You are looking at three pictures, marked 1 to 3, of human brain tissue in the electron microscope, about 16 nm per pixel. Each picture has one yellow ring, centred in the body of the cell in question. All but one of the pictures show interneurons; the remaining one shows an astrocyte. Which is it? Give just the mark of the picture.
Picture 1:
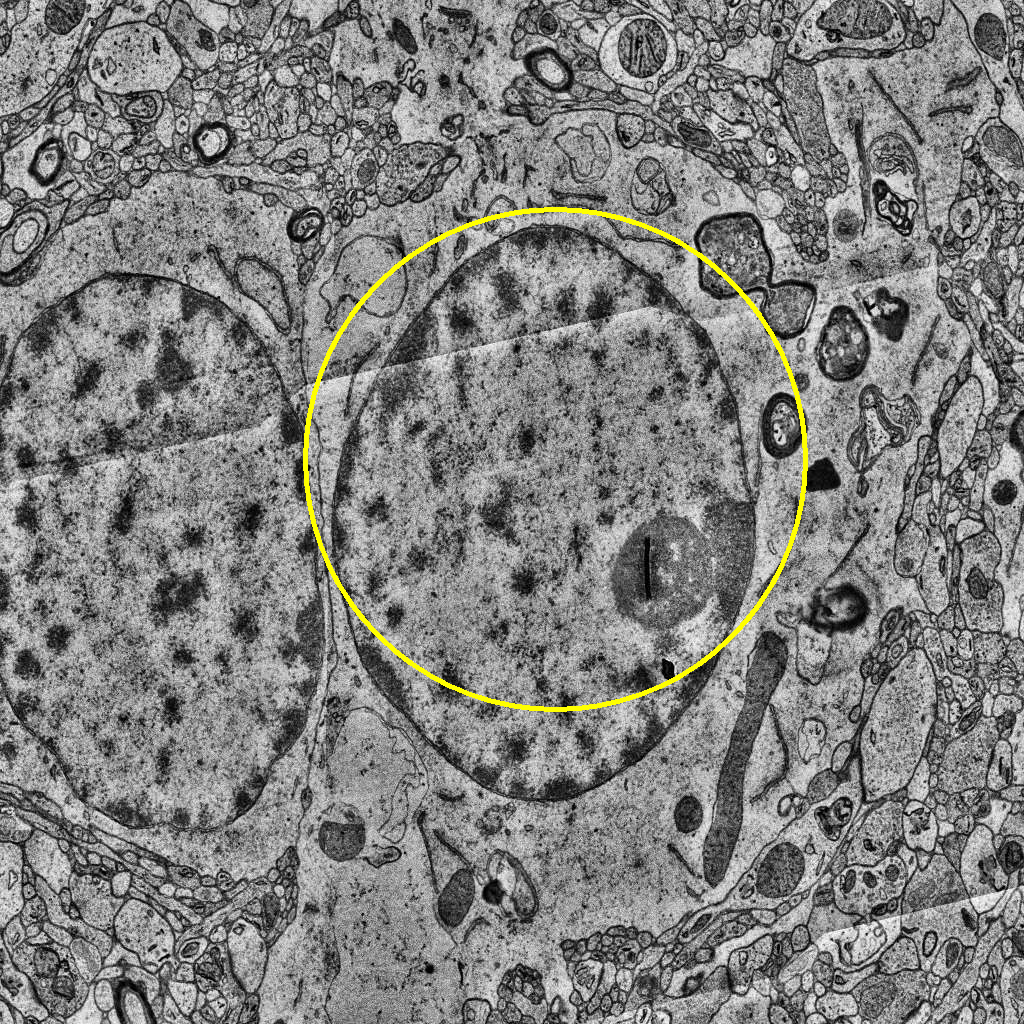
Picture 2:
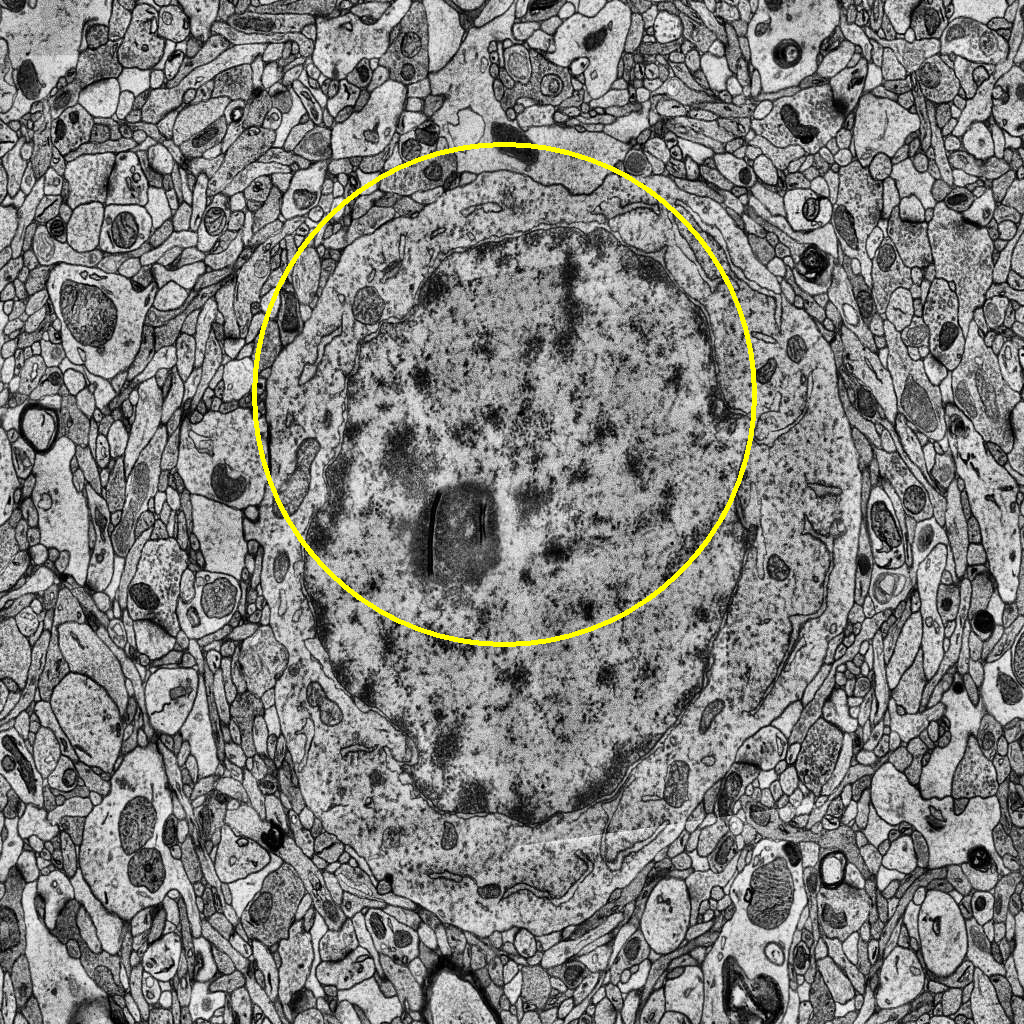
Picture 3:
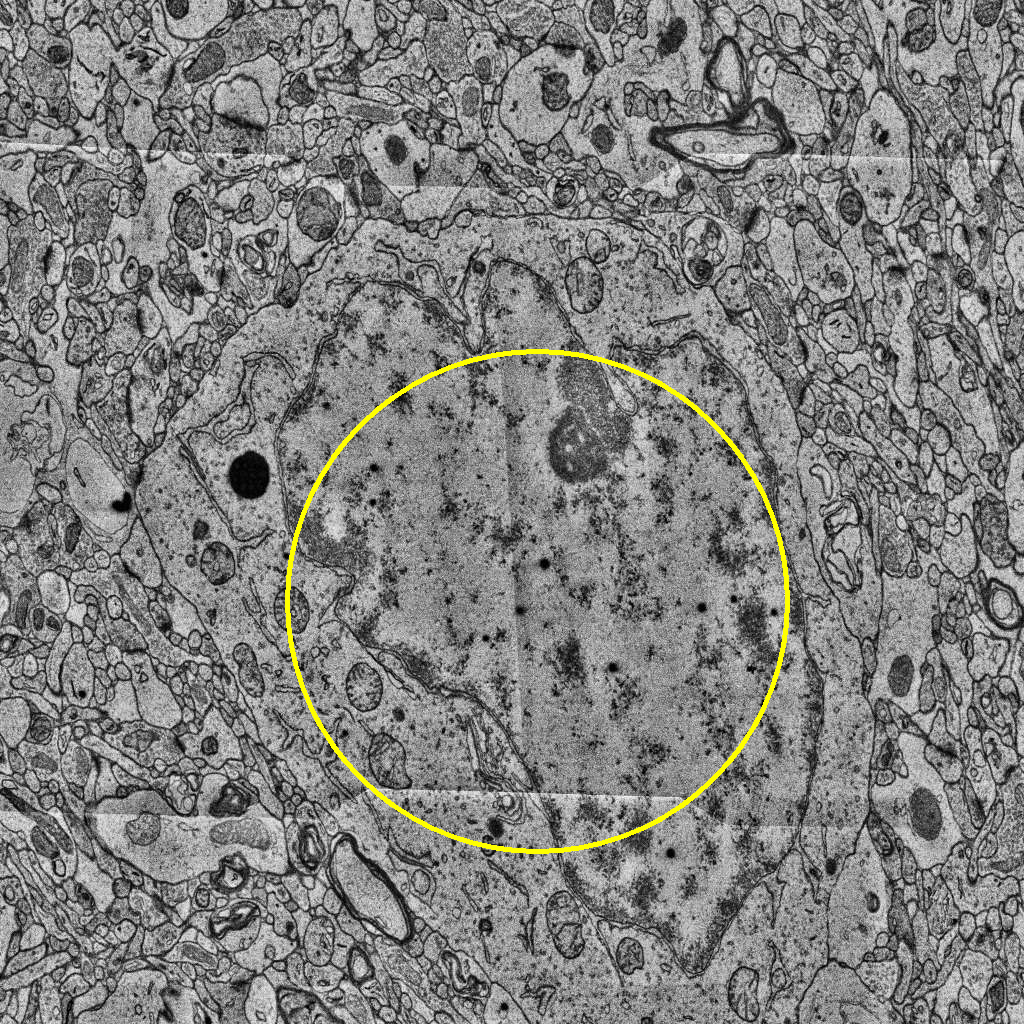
1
